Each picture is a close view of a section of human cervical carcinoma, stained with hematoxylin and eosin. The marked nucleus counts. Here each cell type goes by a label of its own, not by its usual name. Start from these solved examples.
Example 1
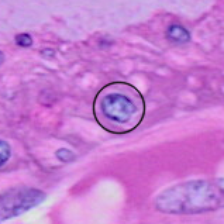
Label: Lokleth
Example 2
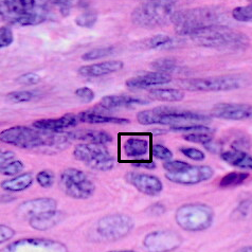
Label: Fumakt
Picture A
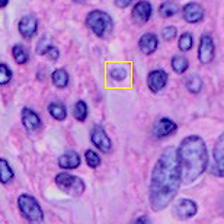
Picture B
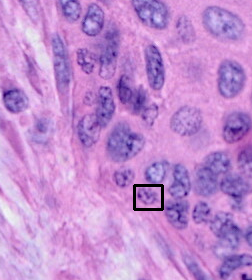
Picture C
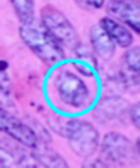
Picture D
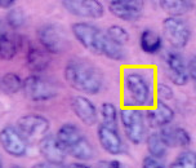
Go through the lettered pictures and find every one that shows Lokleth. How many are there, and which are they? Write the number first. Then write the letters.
1, namely A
